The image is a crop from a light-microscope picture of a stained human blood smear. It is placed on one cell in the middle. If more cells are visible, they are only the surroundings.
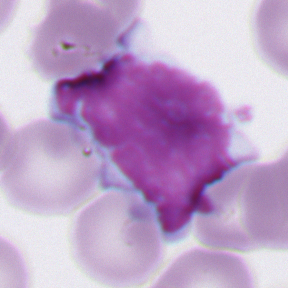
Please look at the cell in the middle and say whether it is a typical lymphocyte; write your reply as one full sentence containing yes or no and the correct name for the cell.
Yes, the crop's central cell is a typical lymphocyte.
